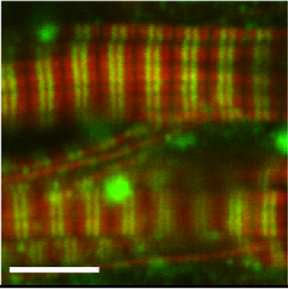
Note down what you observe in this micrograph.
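Red bands alternate with narrow green lines, and the green lines lie in closely spaced pairs at regular intervals, giving a repeating sarcomeric pattern. Neighbouring fibres are separated by dark gaps, and a few bright green dots lie outside the fibres in these spaces. The banding is evenly spaced and well aligned, showing orderly sarcomeres.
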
